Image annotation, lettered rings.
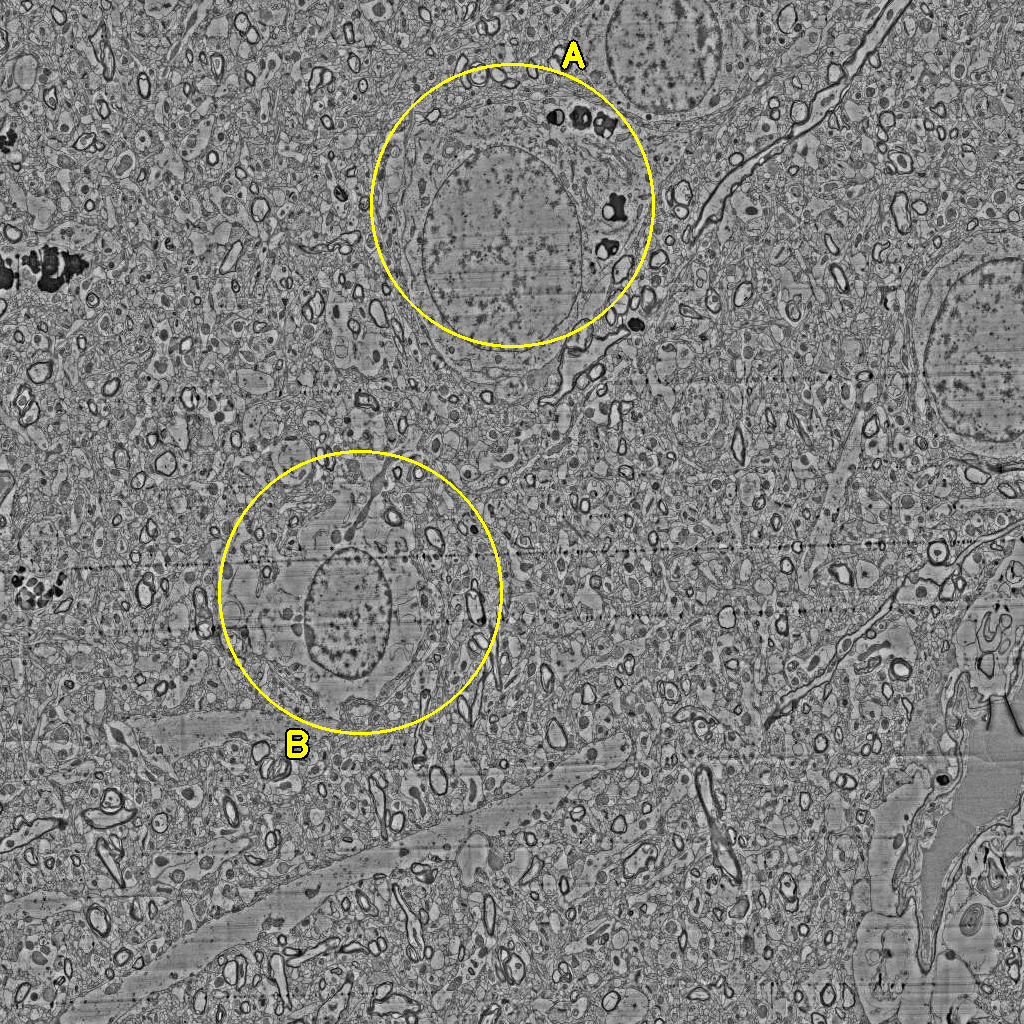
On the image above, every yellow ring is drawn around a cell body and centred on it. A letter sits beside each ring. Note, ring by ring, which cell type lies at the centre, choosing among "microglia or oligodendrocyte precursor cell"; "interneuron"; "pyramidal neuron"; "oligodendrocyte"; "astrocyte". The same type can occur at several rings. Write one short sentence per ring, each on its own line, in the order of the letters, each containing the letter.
Ring A has a pyramidal neuron at its centre.
Ring B has an astrocyte at its centre.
